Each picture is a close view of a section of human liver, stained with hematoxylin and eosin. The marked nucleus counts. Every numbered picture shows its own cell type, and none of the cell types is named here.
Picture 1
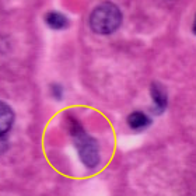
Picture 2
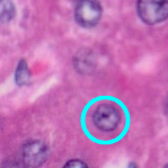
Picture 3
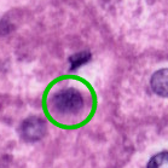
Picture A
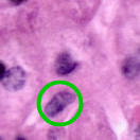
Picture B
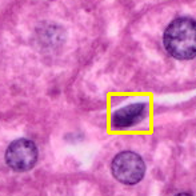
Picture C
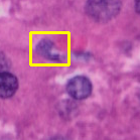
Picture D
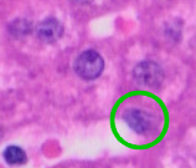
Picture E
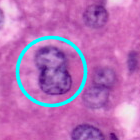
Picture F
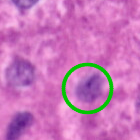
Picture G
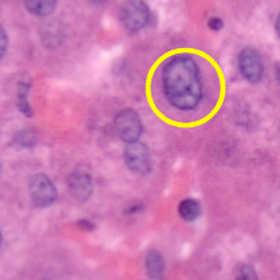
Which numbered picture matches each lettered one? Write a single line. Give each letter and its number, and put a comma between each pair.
A 1, B 1, C 3, D 3, E 2, F 3, G 2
